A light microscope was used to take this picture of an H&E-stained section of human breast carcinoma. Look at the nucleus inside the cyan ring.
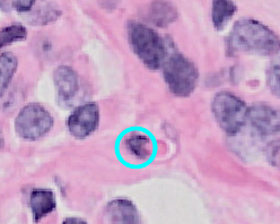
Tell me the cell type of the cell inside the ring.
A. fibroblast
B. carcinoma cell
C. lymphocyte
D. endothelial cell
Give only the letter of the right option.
D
